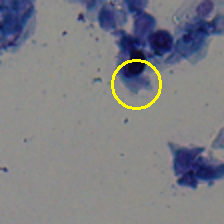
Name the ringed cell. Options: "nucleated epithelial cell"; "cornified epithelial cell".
cornified epithelial cell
